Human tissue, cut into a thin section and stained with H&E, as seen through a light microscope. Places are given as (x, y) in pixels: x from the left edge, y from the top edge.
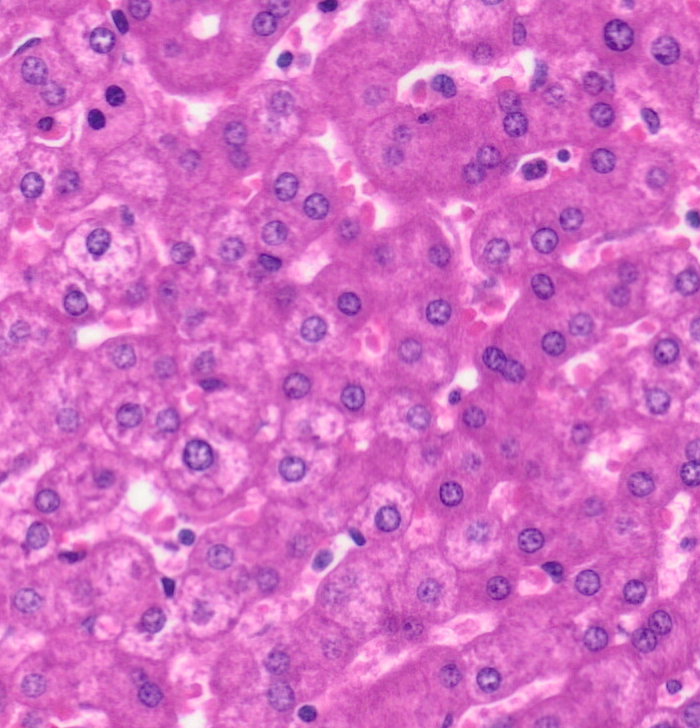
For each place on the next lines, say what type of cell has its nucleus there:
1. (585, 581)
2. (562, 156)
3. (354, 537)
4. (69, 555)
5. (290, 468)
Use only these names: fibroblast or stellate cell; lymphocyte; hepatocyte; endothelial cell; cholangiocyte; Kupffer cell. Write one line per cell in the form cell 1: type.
cell 1: hepatocyte
cell 2: lymphocyte
cell 3: fibroblast or stellate cell
cell 4: endothelial cell
cell 5: hepatocyte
